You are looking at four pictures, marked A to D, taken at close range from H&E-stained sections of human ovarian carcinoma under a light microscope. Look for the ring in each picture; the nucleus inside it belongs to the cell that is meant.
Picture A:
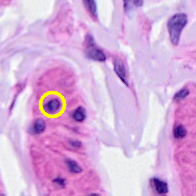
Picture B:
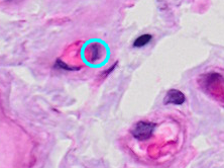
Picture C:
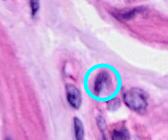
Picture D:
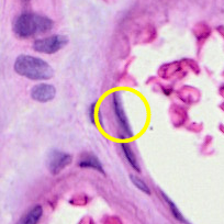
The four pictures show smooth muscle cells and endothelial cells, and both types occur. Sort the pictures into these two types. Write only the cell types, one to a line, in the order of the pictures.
smooth muscle cell
endothelial cell
endothelial cell
endothelial cell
